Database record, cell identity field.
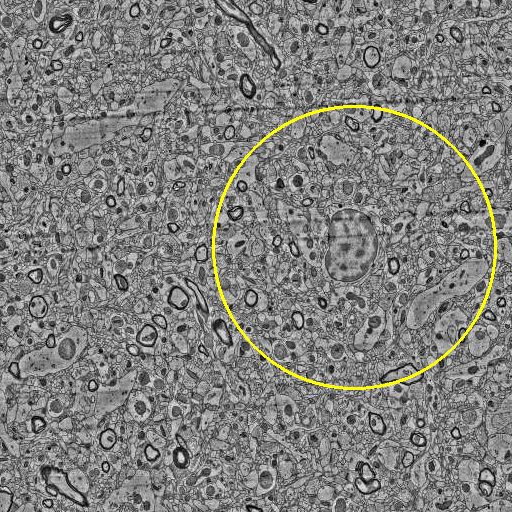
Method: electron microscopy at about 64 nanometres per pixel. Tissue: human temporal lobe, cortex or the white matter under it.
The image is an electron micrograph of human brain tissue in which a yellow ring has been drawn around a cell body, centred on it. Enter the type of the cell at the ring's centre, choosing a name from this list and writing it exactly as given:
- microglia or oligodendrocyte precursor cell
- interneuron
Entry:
microglia or oligodendrocyte precursor cell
